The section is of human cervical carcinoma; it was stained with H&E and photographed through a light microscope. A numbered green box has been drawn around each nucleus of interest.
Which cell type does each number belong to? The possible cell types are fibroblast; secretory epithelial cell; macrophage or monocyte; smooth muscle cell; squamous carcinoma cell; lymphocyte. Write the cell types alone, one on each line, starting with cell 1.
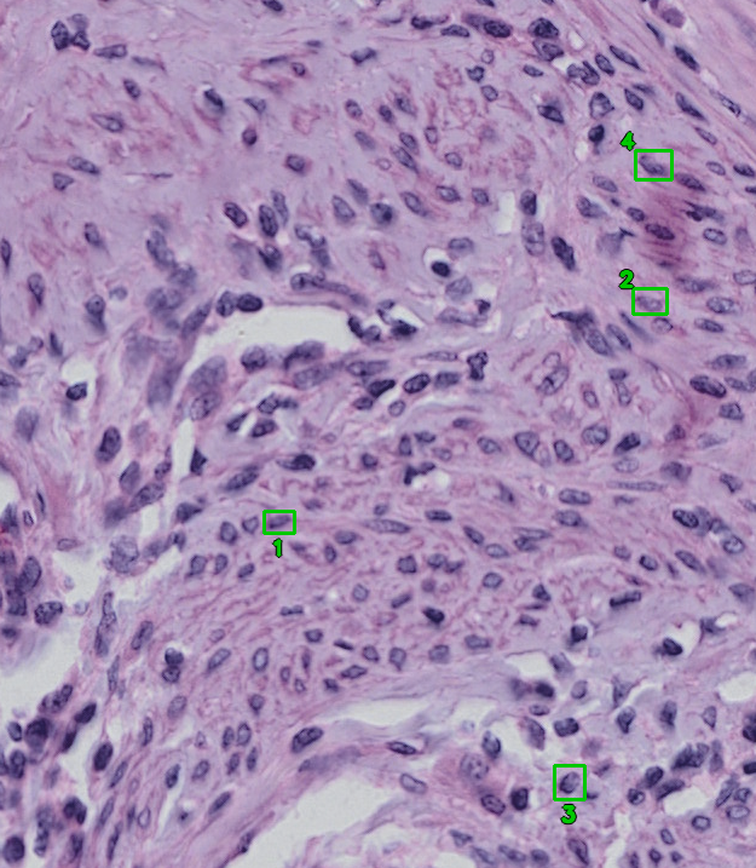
smooth muscle cell
smooth muscle cell
lymphocyte
smooth muscle cell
